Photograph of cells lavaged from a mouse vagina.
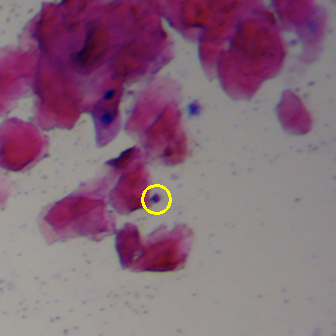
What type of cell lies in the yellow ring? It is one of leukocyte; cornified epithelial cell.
The ringed cell is a leukocyte.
